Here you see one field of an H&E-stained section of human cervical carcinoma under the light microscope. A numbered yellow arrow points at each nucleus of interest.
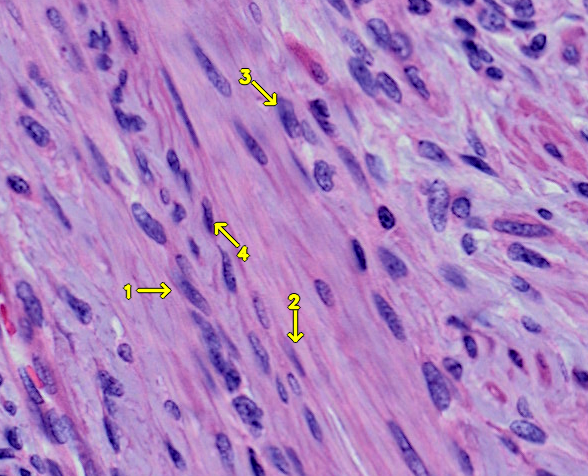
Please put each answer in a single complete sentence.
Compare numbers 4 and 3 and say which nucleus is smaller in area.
Nucleus 4 is the smaller one; nucleus 3 covers about 2.5 times its area.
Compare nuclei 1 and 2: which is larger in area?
It is nucleus 1, which covers about 2.5 times the area of nucleus 2.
